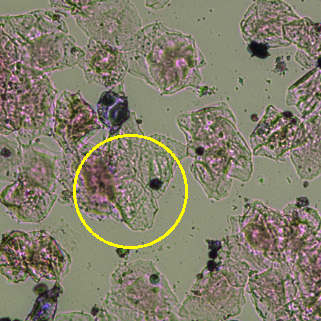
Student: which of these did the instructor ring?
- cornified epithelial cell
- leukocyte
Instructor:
The cell I ringed is a cornified epithelial cell.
